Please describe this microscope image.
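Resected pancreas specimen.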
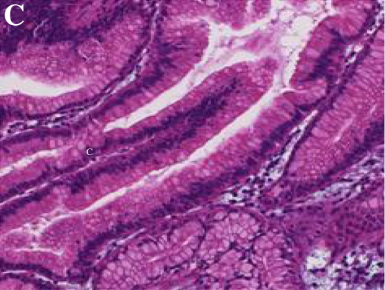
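This field shows intraductal papillary mucinous adenoma lining a pancreatic duct: elongated papillary folds covered by a single layer of tall columnar epithelial cells. Each cell has abundant pale, clear to faintly pink apical cytoplasm filled with mucin, and a dark, elongated nucleus lying at the base of the cell. Thin cores of connective tissue run through the folds, and spaces between folds form the duct lumen. Near the bottom right, more rounded mucinous glands are cut across.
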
